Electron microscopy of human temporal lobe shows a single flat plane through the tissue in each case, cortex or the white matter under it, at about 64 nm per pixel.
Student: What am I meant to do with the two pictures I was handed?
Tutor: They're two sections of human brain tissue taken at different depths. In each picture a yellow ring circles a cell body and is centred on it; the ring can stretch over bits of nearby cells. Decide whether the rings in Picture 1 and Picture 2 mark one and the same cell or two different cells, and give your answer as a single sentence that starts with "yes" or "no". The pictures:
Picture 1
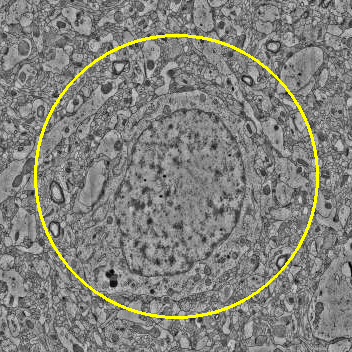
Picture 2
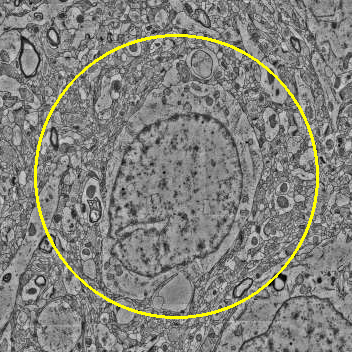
No, the two rings are drawn around two distinct cells.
